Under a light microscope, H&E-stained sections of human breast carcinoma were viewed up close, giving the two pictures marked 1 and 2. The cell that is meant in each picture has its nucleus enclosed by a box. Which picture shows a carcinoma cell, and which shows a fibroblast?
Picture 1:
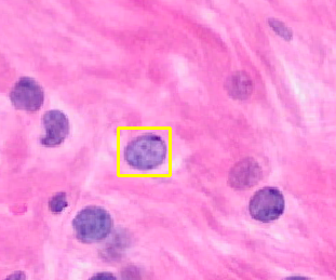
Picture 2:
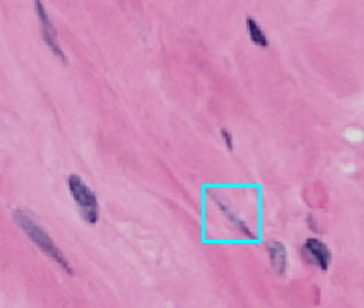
1: carcinoma cell
2: fibroblast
